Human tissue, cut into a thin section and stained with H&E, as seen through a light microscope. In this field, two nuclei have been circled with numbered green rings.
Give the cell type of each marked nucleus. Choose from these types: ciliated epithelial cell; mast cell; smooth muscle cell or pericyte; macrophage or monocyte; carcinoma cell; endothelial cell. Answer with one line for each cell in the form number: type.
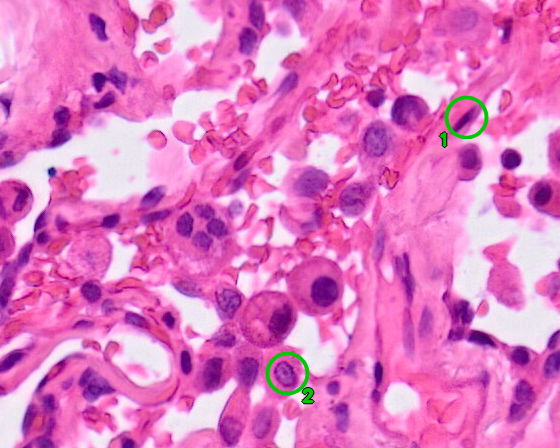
1: endothelial cell
2: macrophage or monocyte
